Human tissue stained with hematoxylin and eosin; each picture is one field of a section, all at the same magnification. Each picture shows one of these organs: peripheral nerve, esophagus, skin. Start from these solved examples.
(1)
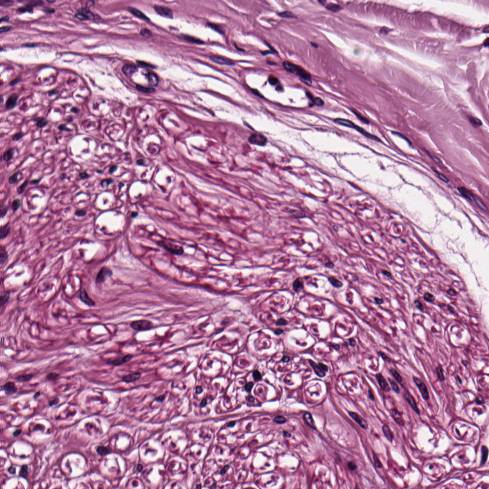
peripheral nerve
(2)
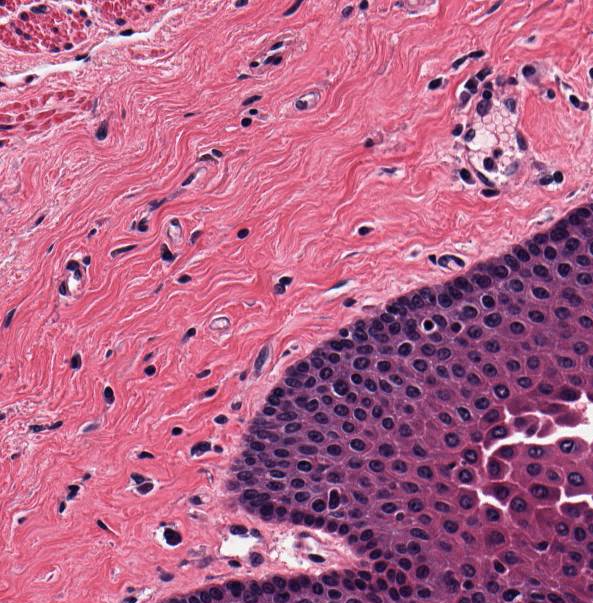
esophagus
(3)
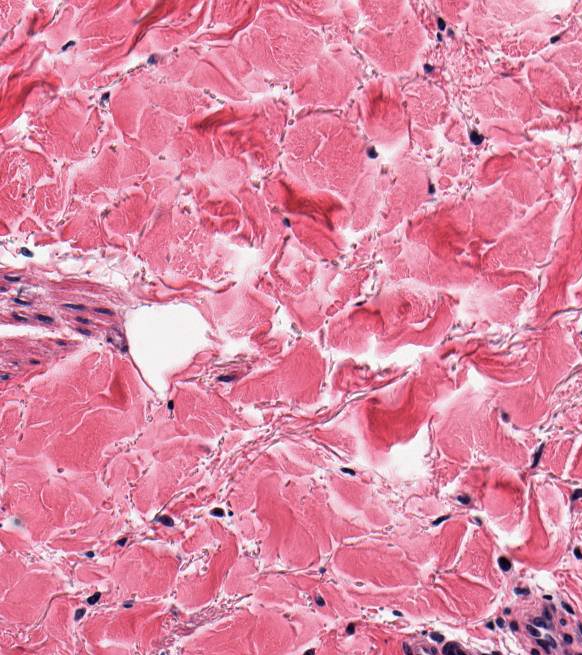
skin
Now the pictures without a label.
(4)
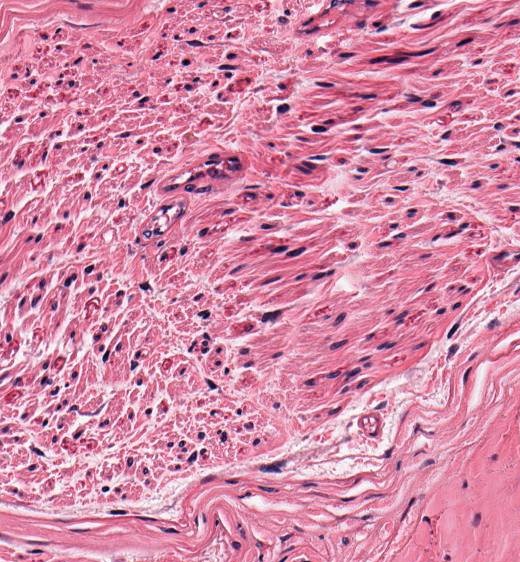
peripheral nerve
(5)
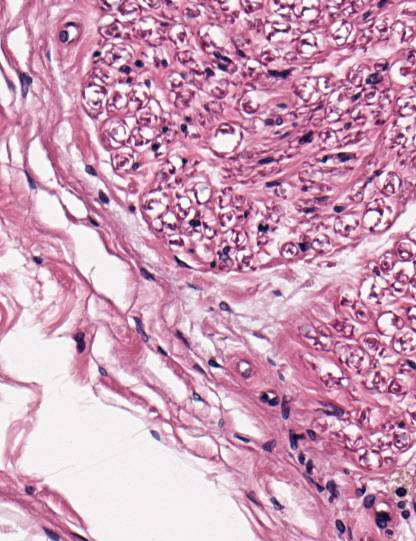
peripheral nerve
